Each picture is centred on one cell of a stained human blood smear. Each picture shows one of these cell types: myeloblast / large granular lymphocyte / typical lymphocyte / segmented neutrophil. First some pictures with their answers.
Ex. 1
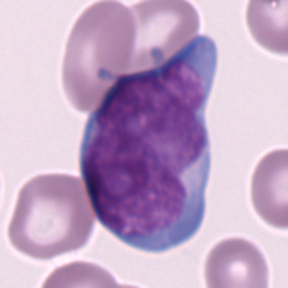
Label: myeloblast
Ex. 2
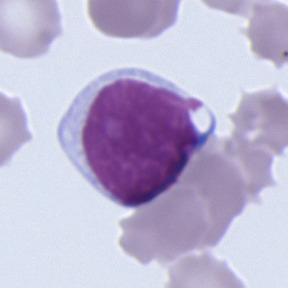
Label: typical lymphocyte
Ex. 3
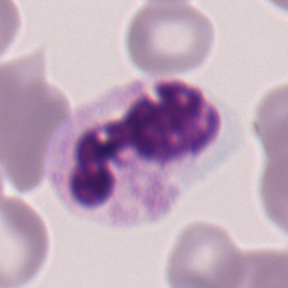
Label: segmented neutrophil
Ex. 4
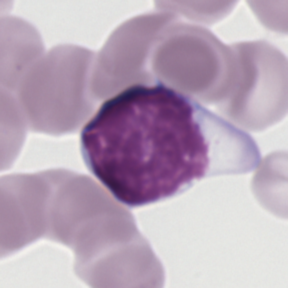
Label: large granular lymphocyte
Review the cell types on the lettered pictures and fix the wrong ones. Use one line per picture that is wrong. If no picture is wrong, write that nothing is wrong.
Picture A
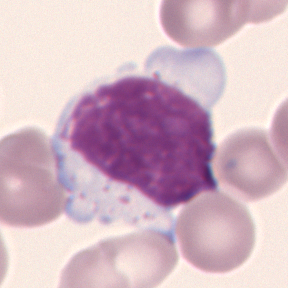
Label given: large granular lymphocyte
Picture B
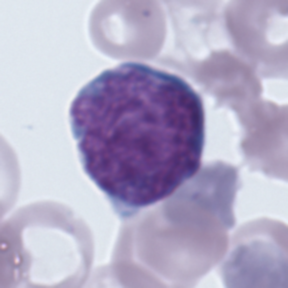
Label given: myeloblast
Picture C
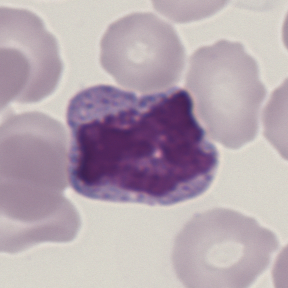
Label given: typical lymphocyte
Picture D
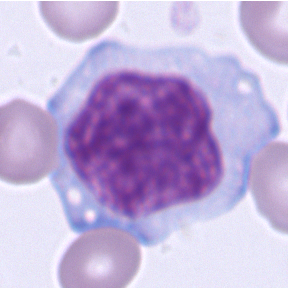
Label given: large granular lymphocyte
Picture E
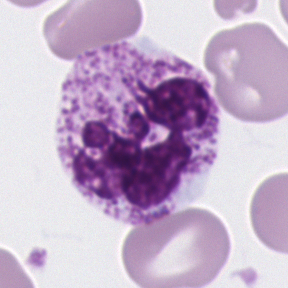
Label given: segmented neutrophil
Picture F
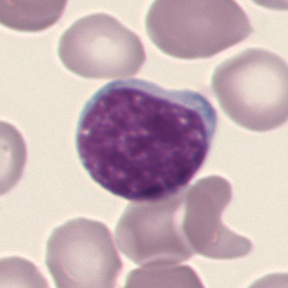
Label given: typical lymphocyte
D: change large granular lymphocyte to myeloblast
